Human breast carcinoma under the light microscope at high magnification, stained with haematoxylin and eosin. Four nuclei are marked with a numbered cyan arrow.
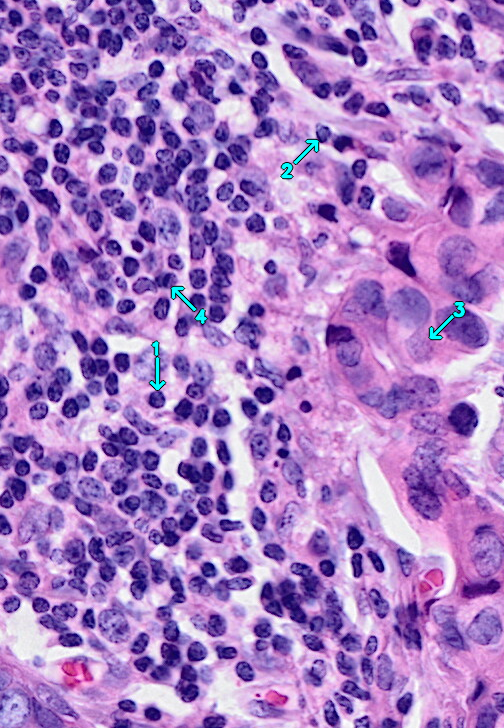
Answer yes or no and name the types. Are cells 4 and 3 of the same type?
No, the cell bearing number 4 is a lymphocyte, while the one bearing number 3 is a carcinoma cell.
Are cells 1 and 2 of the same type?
Yes, lymphocytes are what cells 1 and 2 both are.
